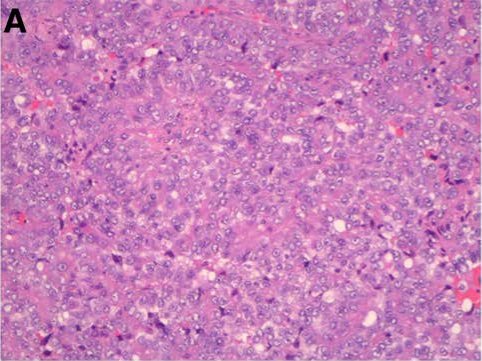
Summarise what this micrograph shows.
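Tumor cells are arranged in solid, closely packed sheets with little intervening stroma. Nuclei are round to oval with open chromatin, and small nucleoli are visible in many of them, with a few scattered darker, more crowded nuclei. Small round clear spaces are scattered among the cells, and a few small vessels containing red blood cells are present.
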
